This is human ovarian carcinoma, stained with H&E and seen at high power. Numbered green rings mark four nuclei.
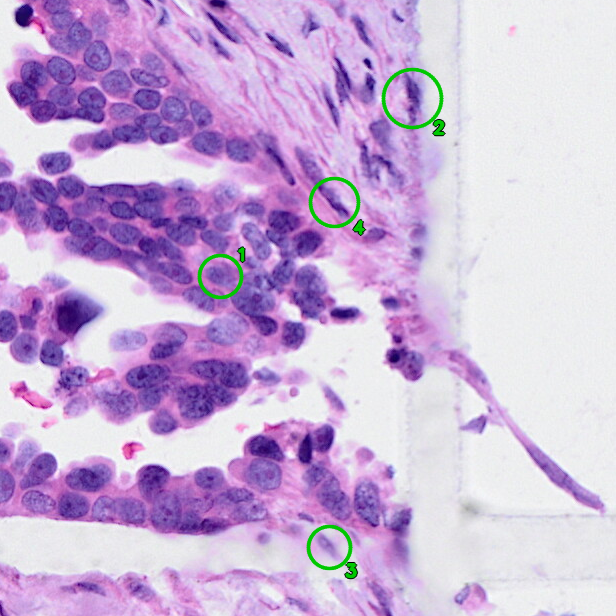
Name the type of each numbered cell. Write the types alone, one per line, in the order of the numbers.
carcinoma cell
fibroblast
fibroblast
fibroblast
